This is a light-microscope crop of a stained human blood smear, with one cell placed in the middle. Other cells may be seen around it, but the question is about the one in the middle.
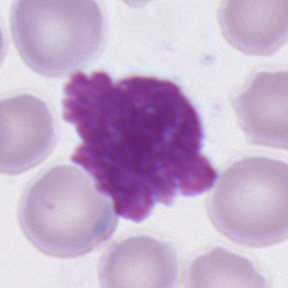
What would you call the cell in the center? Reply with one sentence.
Located at the centre of the crop is a smudge cell.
